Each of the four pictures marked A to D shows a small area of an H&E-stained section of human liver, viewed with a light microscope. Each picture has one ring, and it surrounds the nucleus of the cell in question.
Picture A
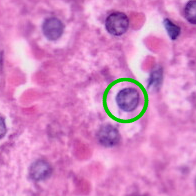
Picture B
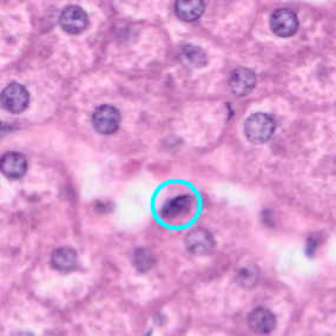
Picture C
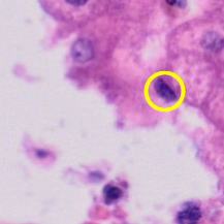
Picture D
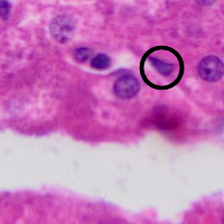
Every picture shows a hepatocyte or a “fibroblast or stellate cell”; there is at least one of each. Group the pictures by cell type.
A: hepatocyte
B: fibroblast or stellate cell
C: fibroblast or stellate cell
D: fibroblast or stellate cell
